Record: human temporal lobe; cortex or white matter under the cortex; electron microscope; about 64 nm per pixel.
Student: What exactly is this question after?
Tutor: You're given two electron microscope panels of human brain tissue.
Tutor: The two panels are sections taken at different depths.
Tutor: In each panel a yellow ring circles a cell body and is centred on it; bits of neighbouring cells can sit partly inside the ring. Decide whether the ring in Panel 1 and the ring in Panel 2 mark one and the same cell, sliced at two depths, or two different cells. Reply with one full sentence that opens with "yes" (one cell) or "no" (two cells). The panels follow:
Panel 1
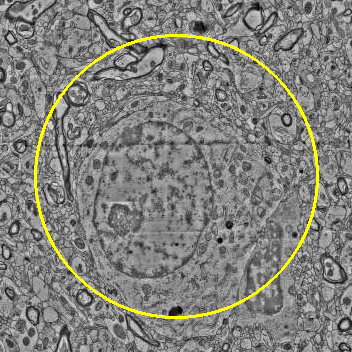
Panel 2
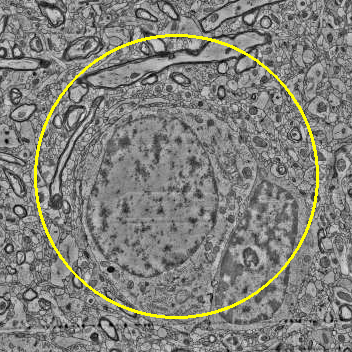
Yes, the cell inside the first ring is the cell inside the second.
